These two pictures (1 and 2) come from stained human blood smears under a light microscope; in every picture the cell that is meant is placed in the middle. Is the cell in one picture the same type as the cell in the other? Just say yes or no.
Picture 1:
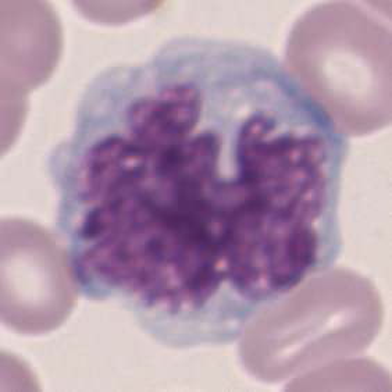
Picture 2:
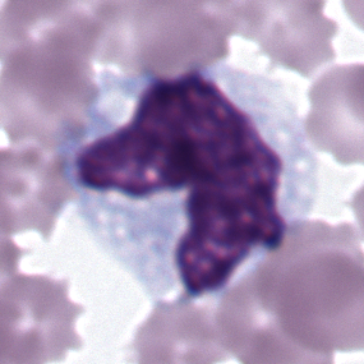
yes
